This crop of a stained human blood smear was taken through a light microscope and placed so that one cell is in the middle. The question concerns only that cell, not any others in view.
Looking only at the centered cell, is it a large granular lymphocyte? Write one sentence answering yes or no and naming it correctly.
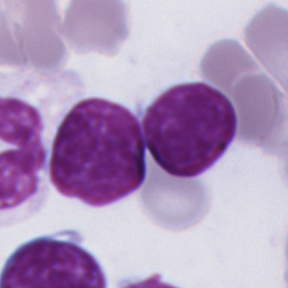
No, the centre of the crop contains a blast rather than a large granular lymphocyte.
